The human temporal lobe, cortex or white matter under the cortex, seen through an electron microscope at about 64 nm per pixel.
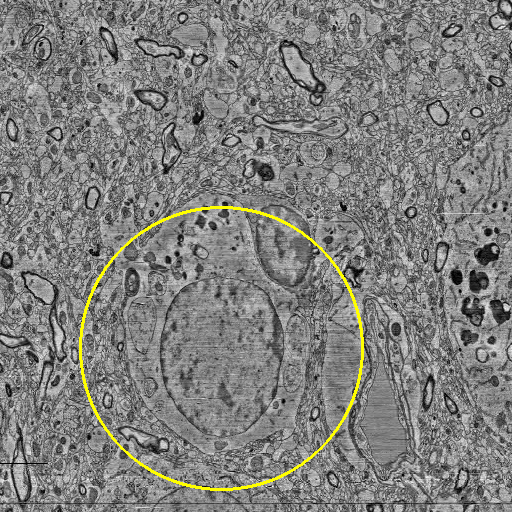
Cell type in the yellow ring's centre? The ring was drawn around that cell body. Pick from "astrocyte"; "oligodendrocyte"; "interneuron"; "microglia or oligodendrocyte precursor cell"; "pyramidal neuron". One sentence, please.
The ringed cell body is that of an astrocyte.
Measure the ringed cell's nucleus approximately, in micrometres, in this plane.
In this plane the nucleus is about 11 micrometres by 8.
